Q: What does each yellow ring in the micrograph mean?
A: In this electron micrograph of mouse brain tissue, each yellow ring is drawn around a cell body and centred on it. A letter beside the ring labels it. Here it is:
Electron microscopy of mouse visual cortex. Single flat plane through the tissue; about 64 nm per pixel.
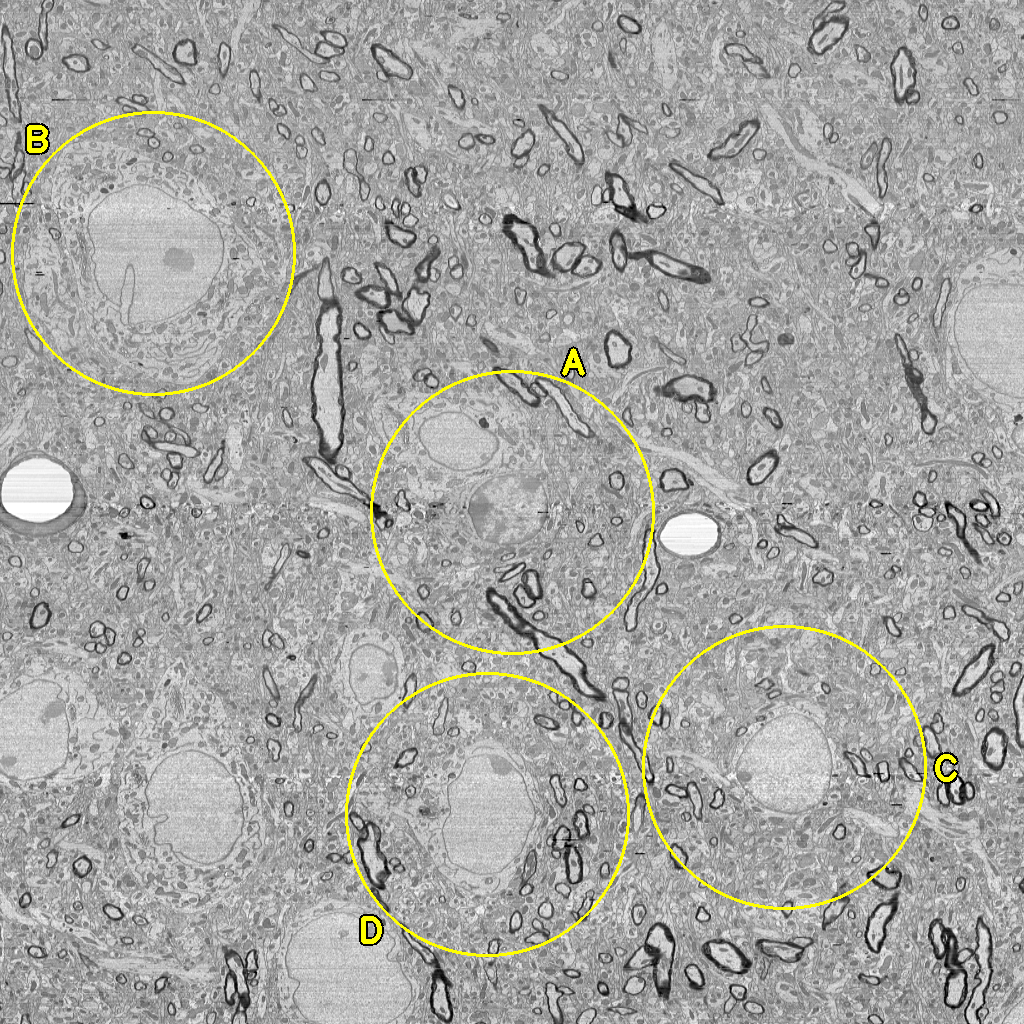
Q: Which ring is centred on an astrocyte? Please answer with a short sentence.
Ring C is the one centred on it.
